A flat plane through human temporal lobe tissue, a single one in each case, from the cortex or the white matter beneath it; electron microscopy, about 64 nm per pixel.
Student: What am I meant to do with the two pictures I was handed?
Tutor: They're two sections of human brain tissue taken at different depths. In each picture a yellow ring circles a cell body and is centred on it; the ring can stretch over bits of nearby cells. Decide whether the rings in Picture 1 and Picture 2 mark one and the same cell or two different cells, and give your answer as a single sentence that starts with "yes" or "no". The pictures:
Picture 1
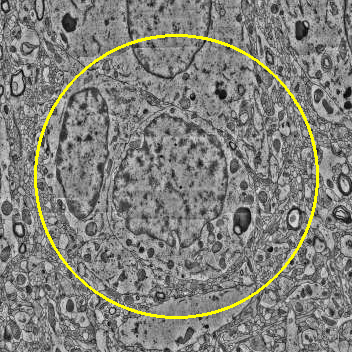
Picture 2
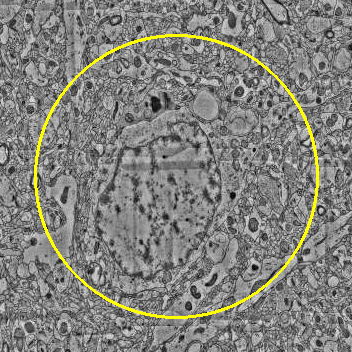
No, the two yellow rings correspond to two separate cells.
